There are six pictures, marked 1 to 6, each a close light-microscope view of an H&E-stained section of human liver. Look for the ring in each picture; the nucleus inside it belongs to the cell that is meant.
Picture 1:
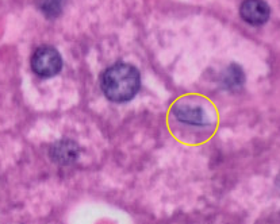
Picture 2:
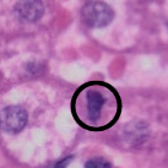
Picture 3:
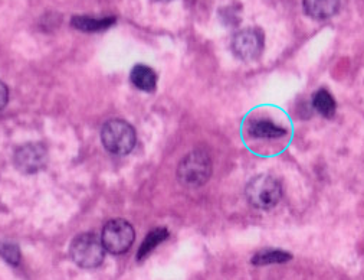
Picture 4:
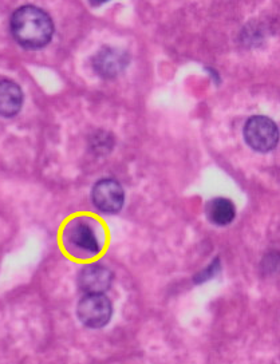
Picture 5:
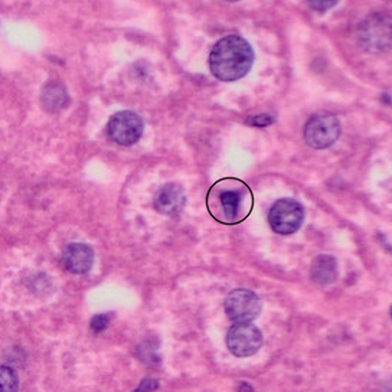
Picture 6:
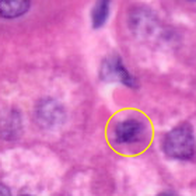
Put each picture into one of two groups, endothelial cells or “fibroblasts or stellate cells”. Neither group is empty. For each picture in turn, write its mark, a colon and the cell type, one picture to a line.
1: endothelial cell
2: fibroblast or stellate cell
3: endothelial cell
4: fibroblast or stellate cell
5: fibroblast or stellate cell
6: fibroblast or stellate cell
